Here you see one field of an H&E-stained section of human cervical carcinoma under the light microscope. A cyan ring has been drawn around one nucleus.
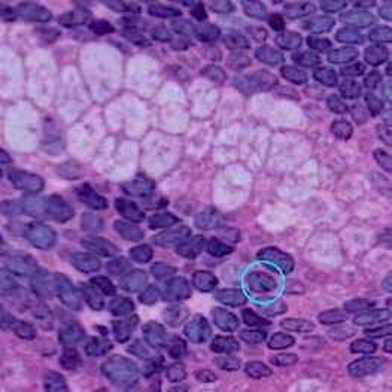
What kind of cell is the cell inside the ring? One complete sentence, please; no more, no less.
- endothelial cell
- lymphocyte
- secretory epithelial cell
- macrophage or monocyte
Within this tissue, the cell inside the ring is a secretory epithelial cell.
